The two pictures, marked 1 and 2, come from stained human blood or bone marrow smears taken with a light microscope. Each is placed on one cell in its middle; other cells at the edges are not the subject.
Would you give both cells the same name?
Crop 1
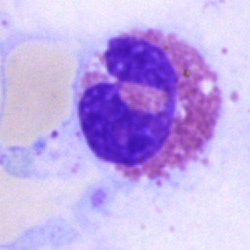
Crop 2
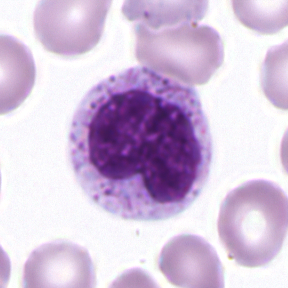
no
